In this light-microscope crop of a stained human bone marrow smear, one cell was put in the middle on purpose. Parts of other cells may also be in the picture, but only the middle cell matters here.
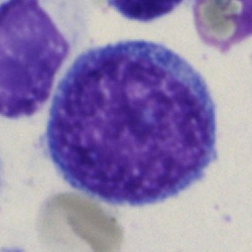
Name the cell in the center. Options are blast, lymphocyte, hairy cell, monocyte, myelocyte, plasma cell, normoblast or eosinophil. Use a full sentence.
Located at the centre of the crop is a blast.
